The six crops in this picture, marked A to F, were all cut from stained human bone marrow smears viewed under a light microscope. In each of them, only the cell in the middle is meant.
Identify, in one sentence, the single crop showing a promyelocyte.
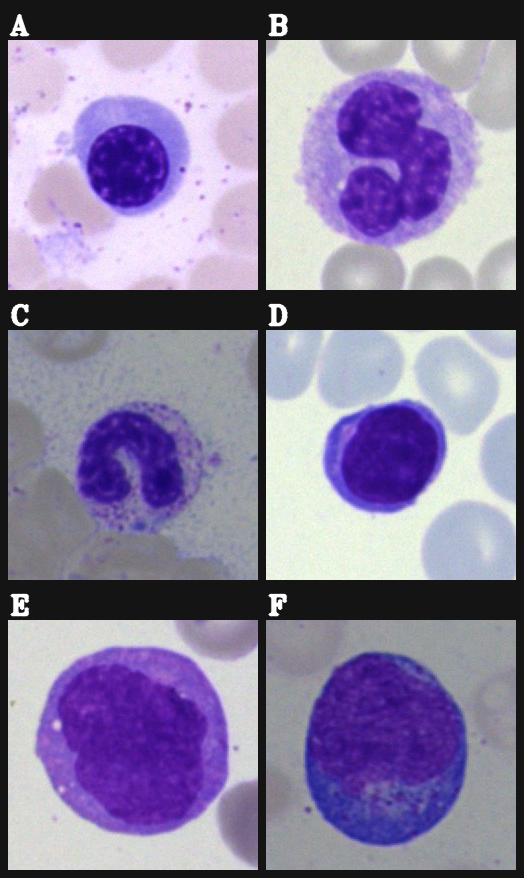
Crop F is the right one; it is the crop showing a promyelocyte.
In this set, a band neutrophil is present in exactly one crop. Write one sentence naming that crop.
It is in crop C, among all the crops, that a band neutrophil is present.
